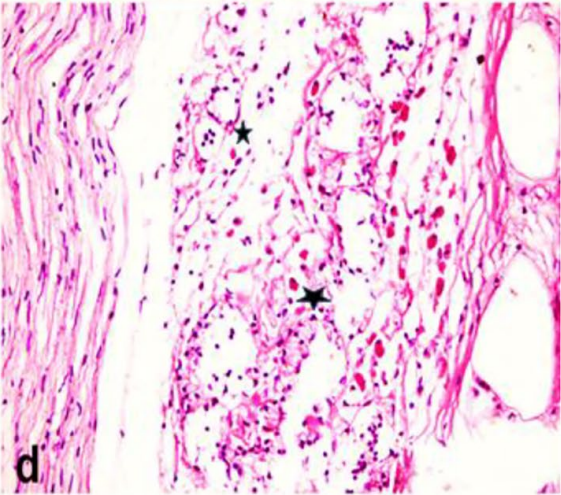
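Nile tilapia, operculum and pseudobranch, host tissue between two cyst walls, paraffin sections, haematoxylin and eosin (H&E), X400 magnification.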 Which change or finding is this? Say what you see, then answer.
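Inflammatory reaction. Many small, dark, round nuclei are scattered densely through loose connective tissue. Numerous cells with bright red granular cytoplasm lie among them.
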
